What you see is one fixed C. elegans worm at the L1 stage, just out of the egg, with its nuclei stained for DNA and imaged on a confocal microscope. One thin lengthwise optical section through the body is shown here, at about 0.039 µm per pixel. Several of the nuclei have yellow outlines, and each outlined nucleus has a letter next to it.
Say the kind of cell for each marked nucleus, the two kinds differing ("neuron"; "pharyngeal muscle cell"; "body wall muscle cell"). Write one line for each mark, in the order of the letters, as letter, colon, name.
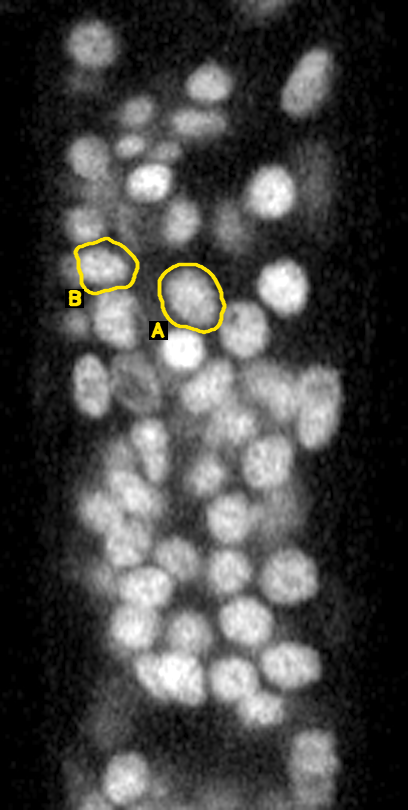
A: pharyngeal muscle cell
B: neuron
